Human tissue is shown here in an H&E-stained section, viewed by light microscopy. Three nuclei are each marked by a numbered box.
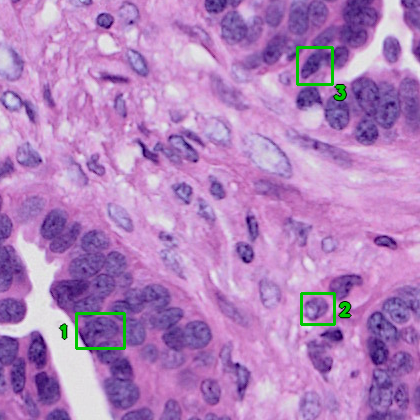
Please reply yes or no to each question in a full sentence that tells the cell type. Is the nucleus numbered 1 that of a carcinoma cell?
Yes, it is a carcinoma cell that number 1 identifies.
